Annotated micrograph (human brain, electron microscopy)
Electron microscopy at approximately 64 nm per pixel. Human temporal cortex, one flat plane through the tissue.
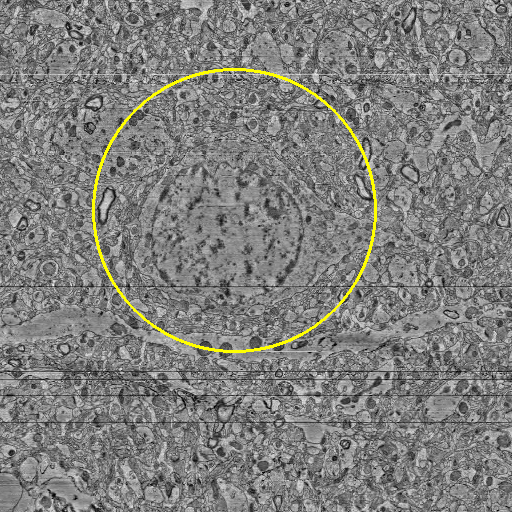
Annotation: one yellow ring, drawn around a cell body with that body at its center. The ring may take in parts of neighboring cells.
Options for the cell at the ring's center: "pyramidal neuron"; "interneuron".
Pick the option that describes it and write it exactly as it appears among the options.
interneuron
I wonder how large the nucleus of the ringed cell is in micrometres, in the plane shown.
About 10 micrometers across, in this plane.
